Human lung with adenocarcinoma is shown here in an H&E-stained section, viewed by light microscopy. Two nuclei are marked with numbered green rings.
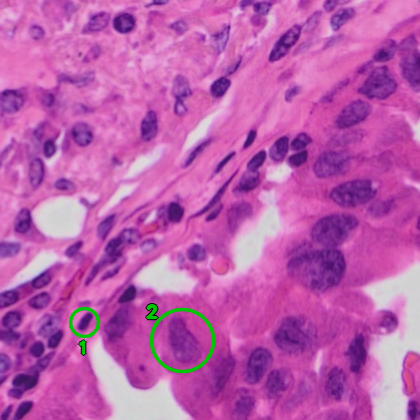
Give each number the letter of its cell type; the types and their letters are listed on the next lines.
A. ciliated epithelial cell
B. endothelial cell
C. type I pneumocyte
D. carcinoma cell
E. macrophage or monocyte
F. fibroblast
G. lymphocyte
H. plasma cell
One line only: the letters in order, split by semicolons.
G; D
